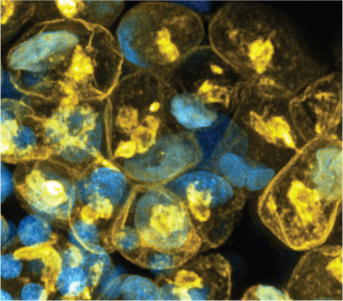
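Hatching gland cells form a sheet of large polygonal cells with clear outlines. Their cytoplasm holds bright yellow granular masses, and the blue nuclei lie beside these masses, often toward one side of the cell.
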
